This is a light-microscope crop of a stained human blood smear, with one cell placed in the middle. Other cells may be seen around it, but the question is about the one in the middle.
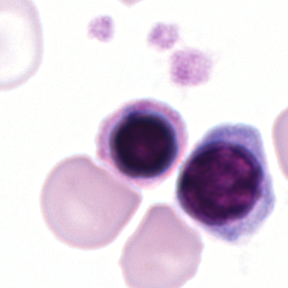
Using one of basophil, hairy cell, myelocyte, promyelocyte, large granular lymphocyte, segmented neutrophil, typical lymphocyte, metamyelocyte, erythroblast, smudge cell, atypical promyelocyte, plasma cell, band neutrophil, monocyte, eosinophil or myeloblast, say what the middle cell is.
erythroblast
